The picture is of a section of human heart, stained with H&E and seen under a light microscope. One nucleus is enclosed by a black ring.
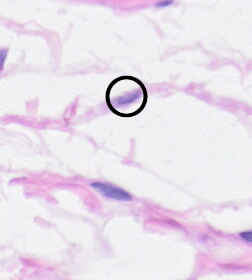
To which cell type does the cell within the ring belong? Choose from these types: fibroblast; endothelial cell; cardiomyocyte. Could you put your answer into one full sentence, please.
In cellular terms, the cell within the ring is a fibroblast.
